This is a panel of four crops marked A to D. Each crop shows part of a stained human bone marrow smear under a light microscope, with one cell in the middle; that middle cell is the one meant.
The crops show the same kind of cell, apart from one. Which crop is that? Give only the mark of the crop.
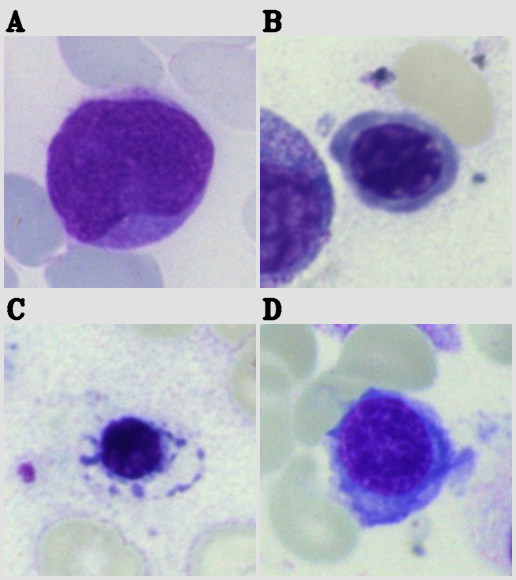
A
